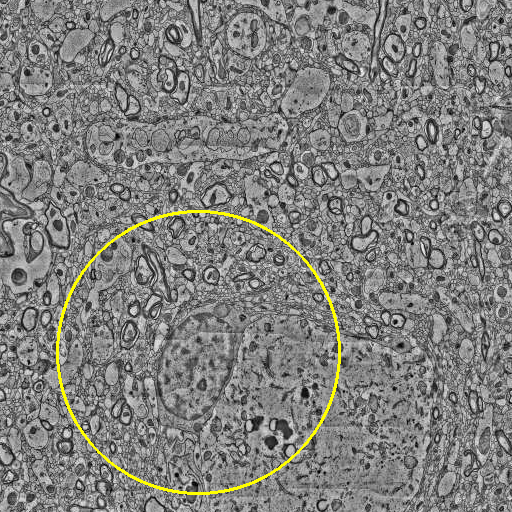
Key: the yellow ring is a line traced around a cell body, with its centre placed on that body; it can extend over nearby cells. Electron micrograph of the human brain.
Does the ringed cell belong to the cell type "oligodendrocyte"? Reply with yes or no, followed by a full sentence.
Yes, the cell at the centre of the yellow ring in the picture is of that type.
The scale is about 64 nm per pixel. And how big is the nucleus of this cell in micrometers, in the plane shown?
The nucleus has a long axis of about 7 micrometres and a short axis of about 5 micrometres in this plane.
